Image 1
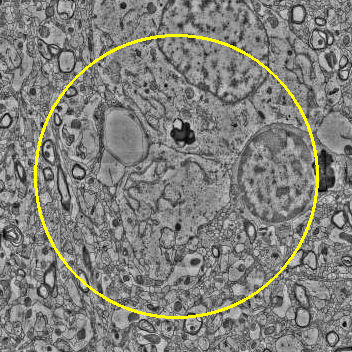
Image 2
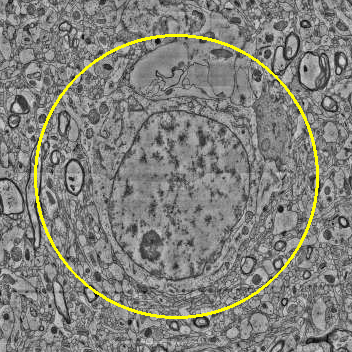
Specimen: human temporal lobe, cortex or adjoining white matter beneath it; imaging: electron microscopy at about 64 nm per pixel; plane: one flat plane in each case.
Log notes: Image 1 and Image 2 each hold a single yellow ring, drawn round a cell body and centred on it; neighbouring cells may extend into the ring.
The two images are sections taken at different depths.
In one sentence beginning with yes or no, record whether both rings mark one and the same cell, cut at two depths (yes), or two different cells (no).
Yes, the cell inside the first ring is the cell inside the second.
